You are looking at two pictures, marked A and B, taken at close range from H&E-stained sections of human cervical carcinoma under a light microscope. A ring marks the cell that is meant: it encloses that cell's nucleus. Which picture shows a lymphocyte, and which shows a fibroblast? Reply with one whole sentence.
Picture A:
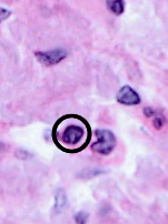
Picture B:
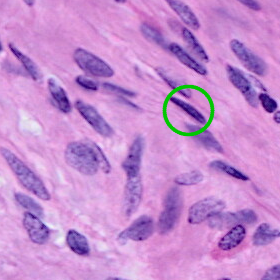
Picture A shows a lymphocyte and picture B shows a fibroblast.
